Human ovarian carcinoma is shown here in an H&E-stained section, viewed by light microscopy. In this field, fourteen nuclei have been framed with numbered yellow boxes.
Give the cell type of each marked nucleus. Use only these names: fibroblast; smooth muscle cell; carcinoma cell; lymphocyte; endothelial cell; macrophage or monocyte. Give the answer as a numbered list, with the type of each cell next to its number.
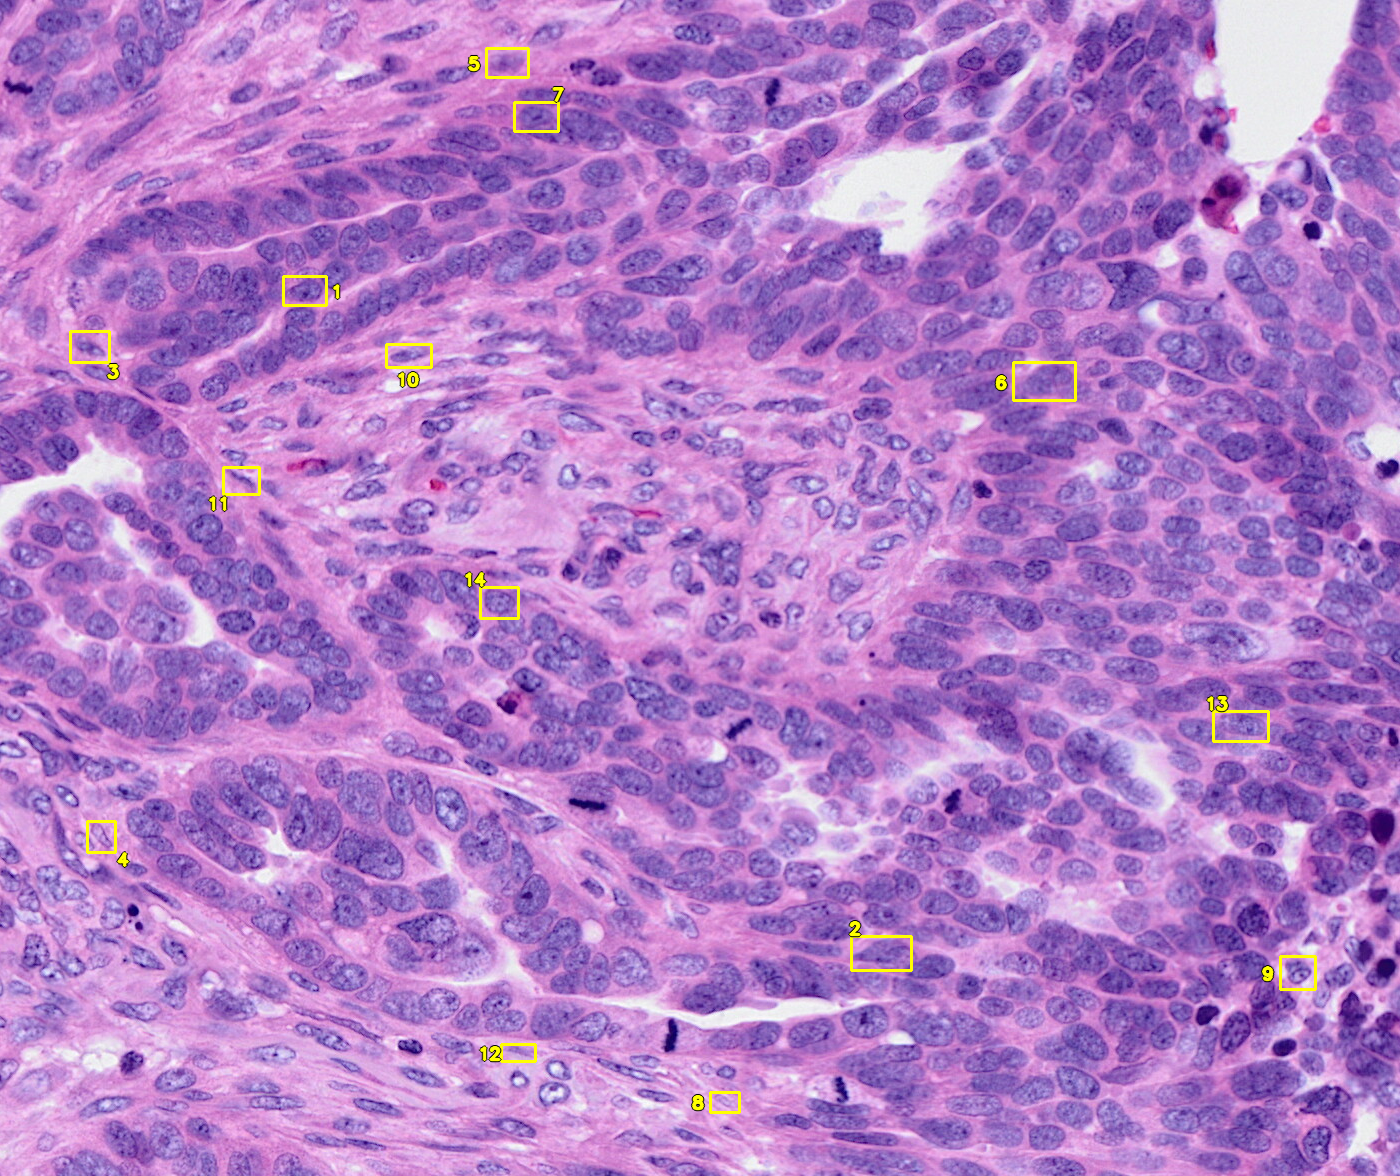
1. carcinoma cell
2. carcinoma cell
3. fibroblast
4. fibroblast
5. fibroblast
6. carcinoma cell
7. carcinoma cell
8. fibroblast
9. macrophage or monocyte
10. fibroblast
11. fibroblast
12. fibroblast
13. carcinoma cell
14. carcinoma cell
